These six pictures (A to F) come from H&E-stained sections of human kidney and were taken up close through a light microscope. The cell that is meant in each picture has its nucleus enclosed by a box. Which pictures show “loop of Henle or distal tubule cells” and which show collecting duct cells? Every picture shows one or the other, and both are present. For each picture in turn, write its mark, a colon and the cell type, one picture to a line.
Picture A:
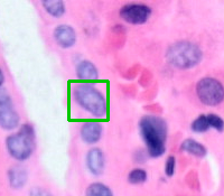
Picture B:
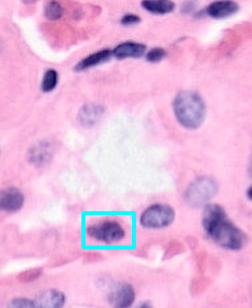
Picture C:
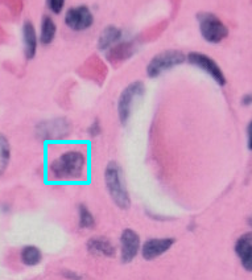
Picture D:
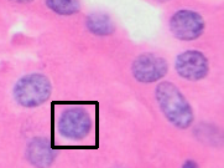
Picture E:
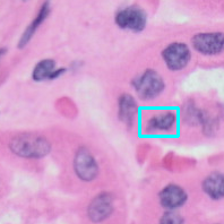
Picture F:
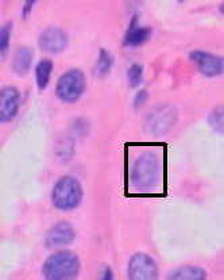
A: collecting duct cell
B: loop of Henle or distal tubule cell
C: loop of Henle or distal tubule cell
D: loop of Henle or distal tubule cell
E: collecting duct cell
F: loop of Henle or distal tubule cell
